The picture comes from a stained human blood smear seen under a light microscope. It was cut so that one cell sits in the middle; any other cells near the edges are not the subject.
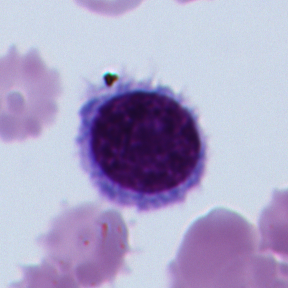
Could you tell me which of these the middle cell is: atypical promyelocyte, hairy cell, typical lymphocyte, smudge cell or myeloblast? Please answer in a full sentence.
At the center of the crop sits a hairy cell.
